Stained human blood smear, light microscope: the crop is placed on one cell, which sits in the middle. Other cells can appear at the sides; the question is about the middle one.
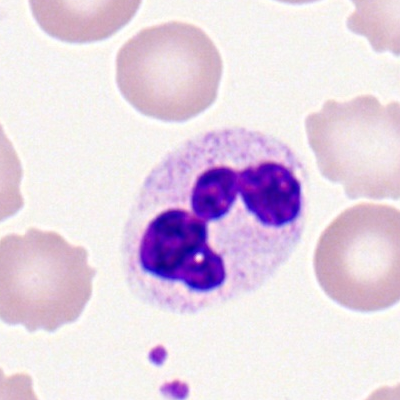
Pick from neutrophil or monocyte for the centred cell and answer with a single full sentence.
The cell at the centre of the field is a neutrophil.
